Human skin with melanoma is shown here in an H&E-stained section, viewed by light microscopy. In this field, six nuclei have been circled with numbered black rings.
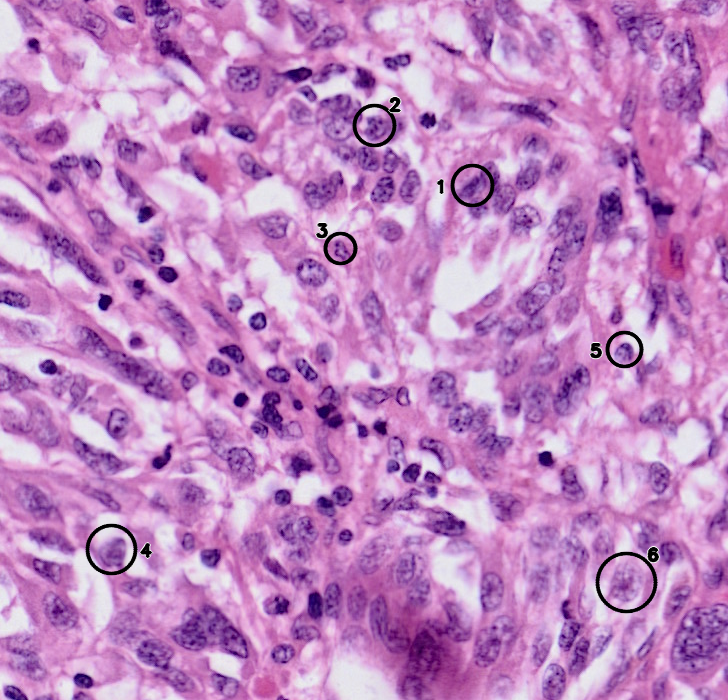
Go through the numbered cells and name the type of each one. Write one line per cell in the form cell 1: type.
cell 1: melanoma cell
cell 2: melanoma cell
cell 3: macrophage or monocyte
cell 4: melanoma cell
cell 5: lymphocyte
cell 6: melanoma cell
